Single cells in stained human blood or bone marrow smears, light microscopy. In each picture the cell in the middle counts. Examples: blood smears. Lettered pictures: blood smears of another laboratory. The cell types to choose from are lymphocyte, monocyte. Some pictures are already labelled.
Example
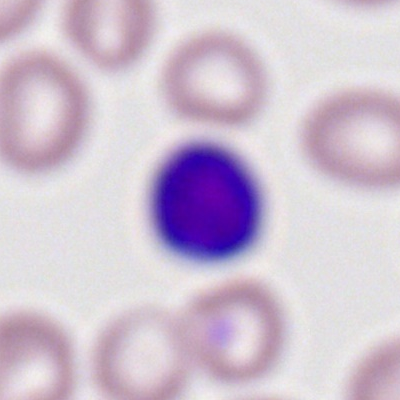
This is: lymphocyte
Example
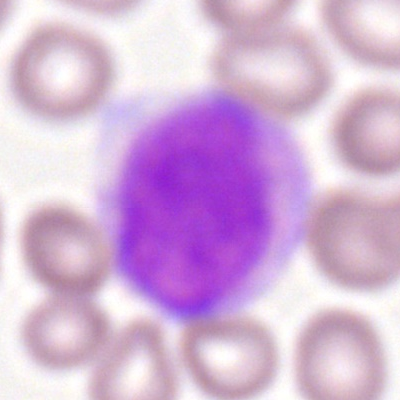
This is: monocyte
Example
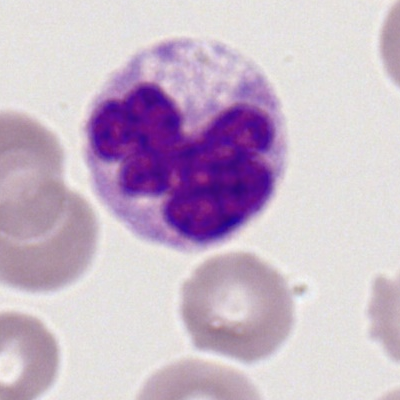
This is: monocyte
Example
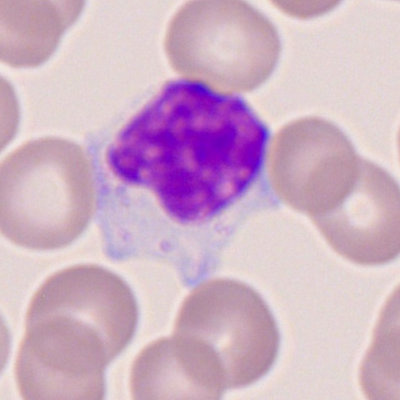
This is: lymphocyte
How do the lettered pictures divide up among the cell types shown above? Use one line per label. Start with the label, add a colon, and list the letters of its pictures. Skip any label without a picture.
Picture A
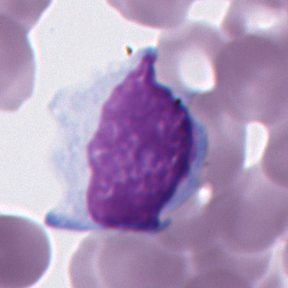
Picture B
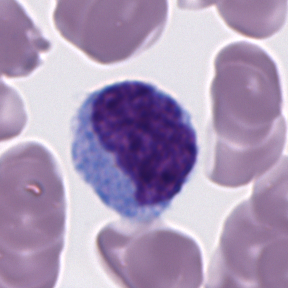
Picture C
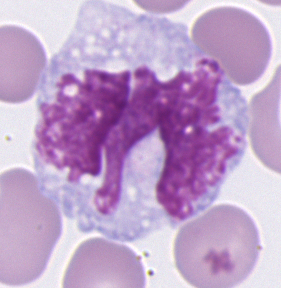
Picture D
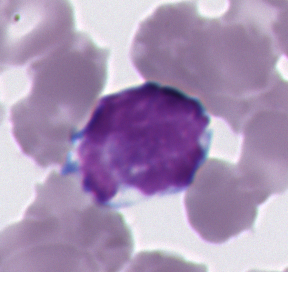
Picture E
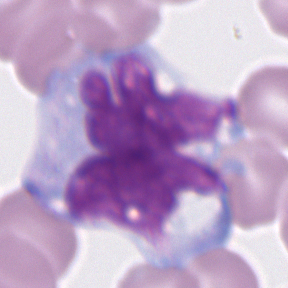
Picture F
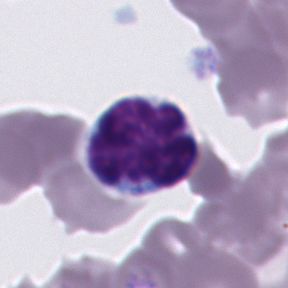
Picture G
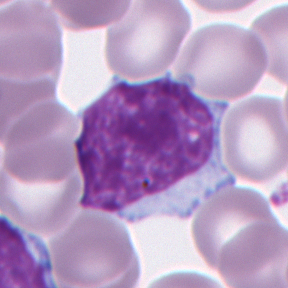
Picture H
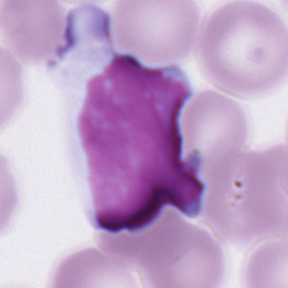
lymphocyte: A, D, F, G, H
monocyte: B, C, E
